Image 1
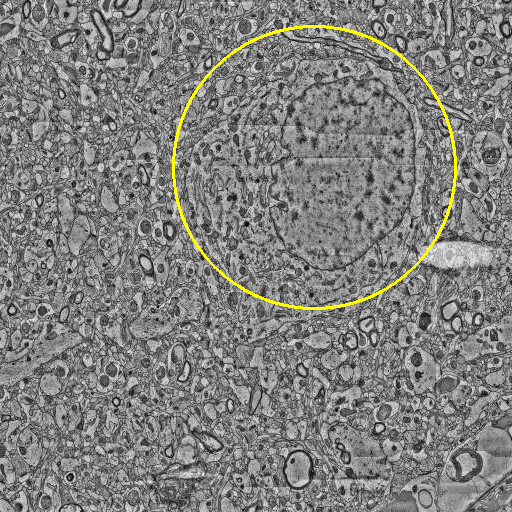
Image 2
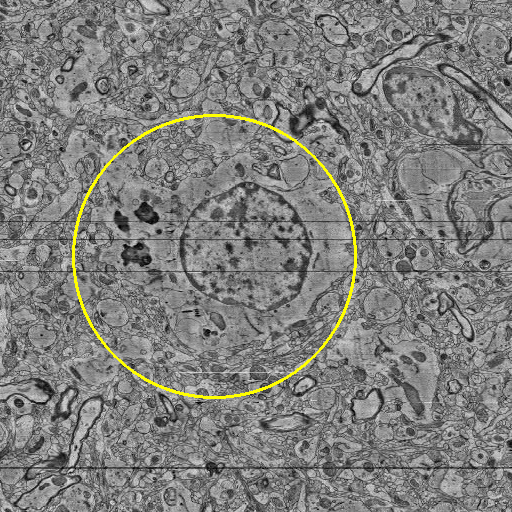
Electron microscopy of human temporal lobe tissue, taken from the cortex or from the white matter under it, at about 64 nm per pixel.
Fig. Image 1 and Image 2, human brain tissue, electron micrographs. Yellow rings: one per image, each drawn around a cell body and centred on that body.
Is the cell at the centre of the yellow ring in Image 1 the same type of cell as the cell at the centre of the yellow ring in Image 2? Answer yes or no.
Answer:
no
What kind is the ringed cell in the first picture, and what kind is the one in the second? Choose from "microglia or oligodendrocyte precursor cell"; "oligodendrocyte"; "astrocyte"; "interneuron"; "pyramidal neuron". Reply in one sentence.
The first cell is an interneuron; the second is an astrocyte.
